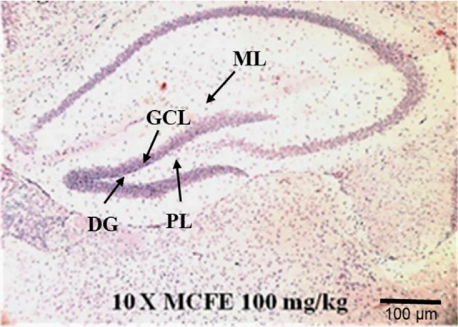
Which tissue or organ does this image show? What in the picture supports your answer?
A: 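Brain. A curved band of densely packed purple nuclei forms a C-shaped layer. A second, V-shaped dense cell band lies inside the curve. Pale, sparsely nucleated neuropil surrounds the cell bands.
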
